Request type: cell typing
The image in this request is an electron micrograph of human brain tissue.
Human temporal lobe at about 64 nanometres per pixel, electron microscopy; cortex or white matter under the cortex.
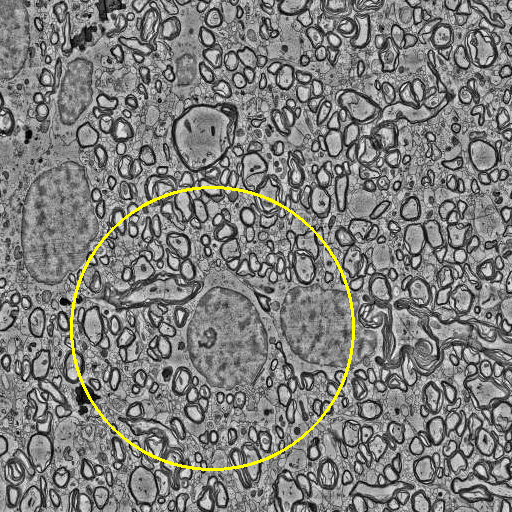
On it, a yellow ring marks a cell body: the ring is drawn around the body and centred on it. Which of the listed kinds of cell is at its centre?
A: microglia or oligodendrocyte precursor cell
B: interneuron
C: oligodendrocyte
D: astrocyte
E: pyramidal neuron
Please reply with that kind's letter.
C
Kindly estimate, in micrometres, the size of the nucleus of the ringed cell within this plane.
The nucleus of the ringed cell is approximately 7 by 5 micrometres in this plane.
